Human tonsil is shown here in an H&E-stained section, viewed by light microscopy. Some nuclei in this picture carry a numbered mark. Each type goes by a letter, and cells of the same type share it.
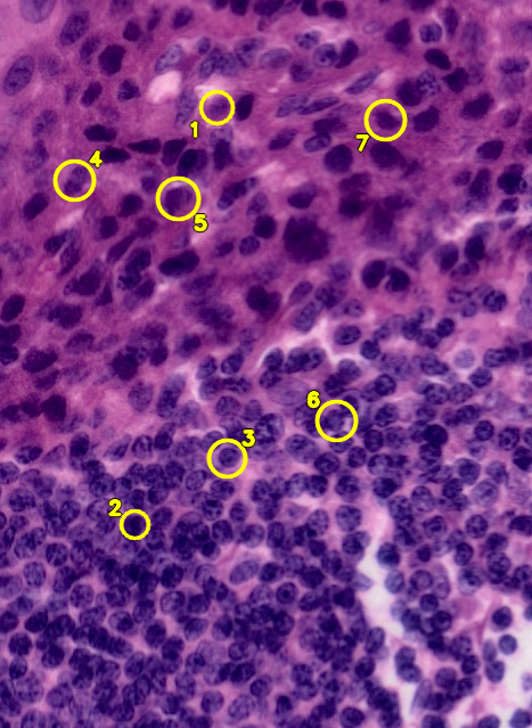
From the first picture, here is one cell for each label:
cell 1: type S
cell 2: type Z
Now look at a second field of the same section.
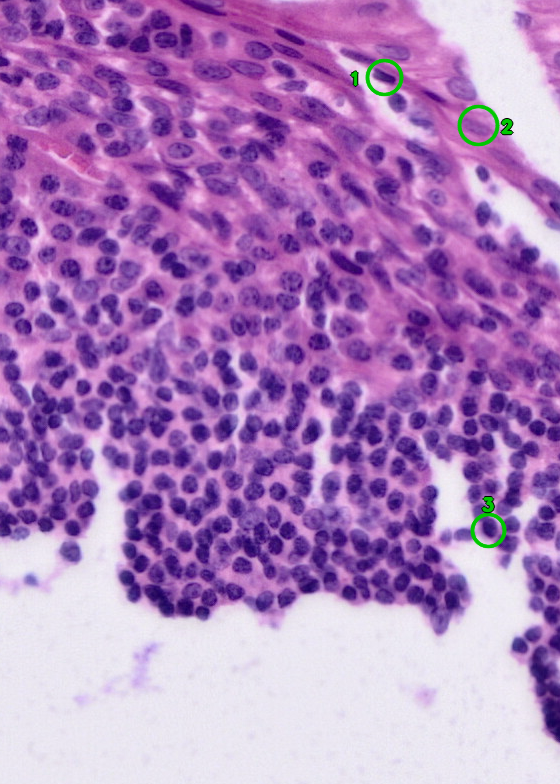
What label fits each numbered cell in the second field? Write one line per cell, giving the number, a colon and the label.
1: type S
2: type S
3: type Z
